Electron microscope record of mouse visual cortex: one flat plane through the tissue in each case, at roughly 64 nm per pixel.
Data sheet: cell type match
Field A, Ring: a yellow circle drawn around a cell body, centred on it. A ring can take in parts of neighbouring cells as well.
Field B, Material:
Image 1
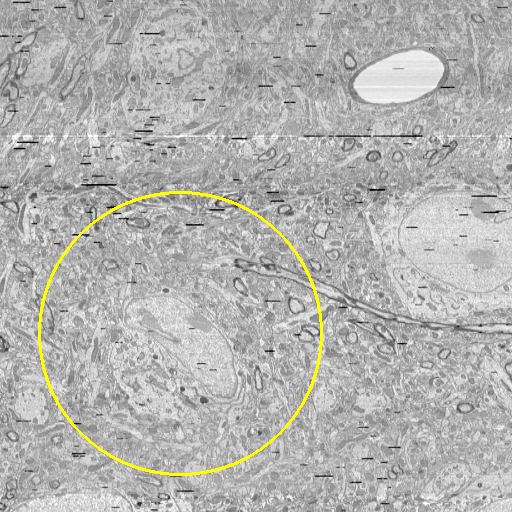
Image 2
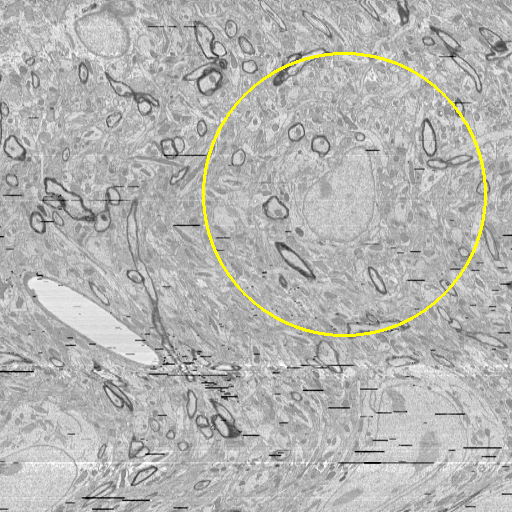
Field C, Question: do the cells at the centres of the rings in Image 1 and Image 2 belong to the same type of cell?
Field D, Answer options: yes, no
yes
